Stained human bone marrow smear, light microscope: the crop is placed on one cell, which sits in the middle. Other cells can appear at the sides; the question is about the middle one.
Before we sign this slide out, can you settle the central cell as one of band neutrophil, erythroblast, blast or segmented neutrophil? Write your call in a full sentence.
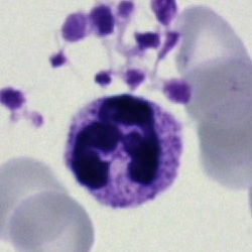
Seen at the centre of the crop is a segmented neutrophil.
